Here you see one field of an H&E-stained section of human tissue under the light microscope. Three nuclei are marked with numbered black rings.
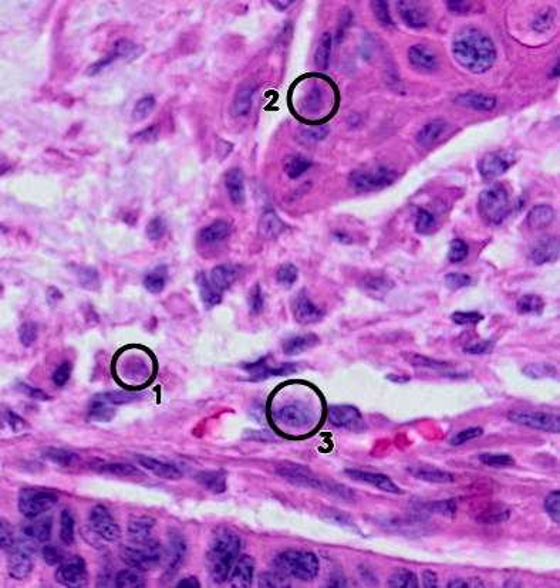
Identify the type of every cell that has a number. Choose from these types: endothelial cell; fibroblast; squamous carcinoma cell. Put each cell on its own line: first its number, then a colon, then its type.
1: fibroblast
2: squamous carcinoma cell
3: endothelial cell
